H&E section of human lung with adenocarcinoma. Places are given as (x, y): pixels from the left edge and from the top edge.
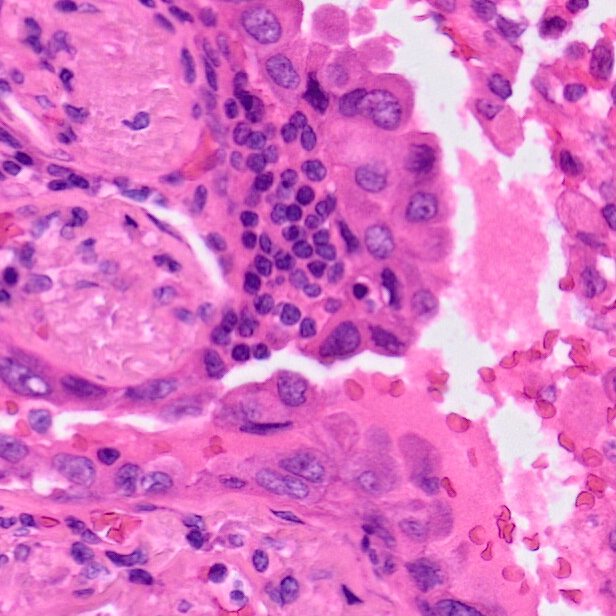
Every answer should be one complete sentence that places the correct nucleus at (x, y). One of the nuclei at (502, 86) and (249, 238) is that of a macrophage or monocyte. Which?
It is the nucleus at (502, 86), not the other one, that belongs to a macrophage or monocyte.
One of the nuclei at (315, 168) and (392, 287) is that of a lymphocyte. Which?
The nucleus located at (315, 168) is the one held within a lymphocyte.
